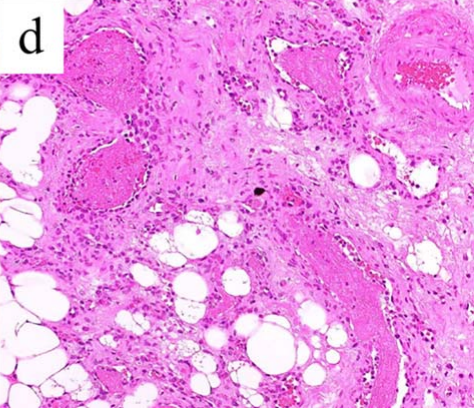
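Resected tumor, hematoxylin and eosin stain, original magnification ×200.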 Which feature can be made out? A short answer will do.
Multiple small vessels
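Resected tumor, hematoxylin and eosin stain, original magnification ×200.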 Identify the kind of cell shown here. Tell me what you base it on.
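Round, empty-looking clear spaces of varying size. The clear spaces are bounded by thin membranes, mostly toward the lower left. On this evidence: mature adipocytes.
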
